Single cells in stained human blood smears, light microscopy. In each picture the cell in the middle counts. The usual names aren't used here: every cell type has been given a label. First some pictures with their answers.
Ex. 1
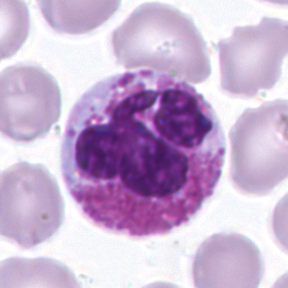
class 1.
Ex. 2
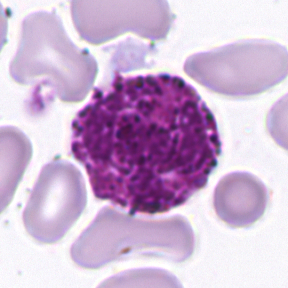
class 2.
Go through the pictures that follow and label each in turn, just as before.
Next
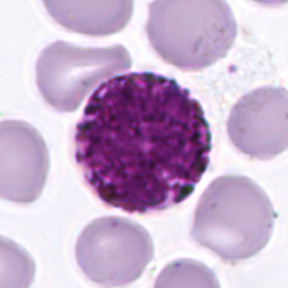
class 2.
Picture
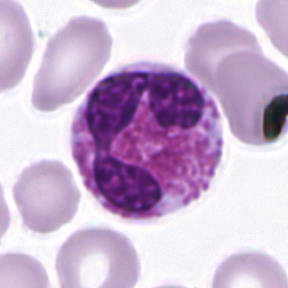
class 1.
